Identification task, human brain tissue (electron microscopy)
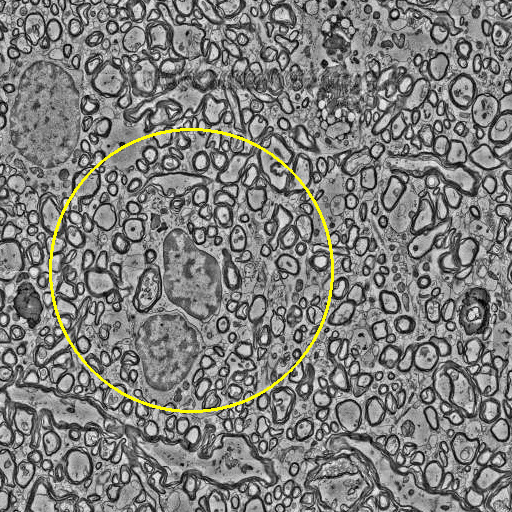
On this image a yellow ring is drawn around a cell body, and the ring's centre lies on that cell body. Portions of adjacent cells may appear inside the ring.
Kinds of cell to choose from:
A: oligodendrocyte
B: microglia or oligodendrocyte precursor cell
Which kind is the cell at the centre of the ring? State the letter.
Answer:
B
